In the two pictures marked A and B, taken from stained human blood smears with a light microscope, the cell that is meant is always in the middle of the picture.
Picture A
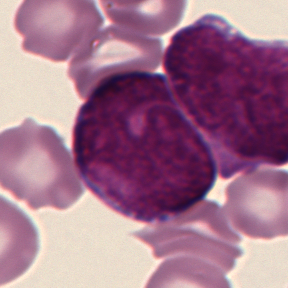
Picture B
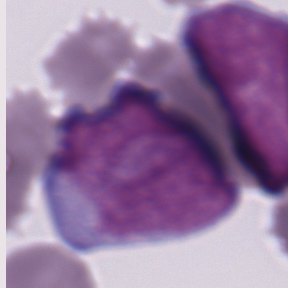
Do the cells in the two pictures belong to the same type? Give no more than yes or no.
yes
